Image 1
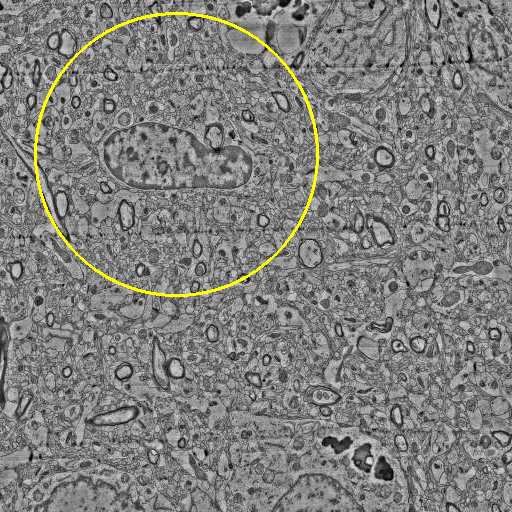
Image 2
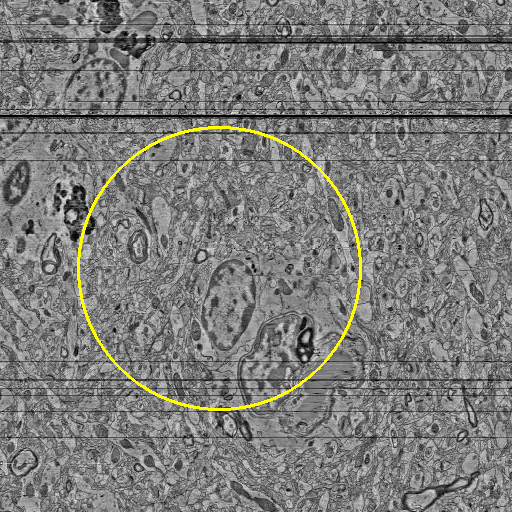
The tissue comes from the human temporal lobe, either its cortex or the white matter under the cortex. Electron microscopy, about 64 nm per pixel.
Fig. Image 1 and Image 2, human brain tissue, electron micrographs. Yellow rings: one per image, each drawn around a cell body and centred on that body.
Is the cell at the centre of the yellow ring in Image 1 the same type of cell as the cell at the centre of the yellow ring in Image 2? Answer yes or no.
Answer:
yes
